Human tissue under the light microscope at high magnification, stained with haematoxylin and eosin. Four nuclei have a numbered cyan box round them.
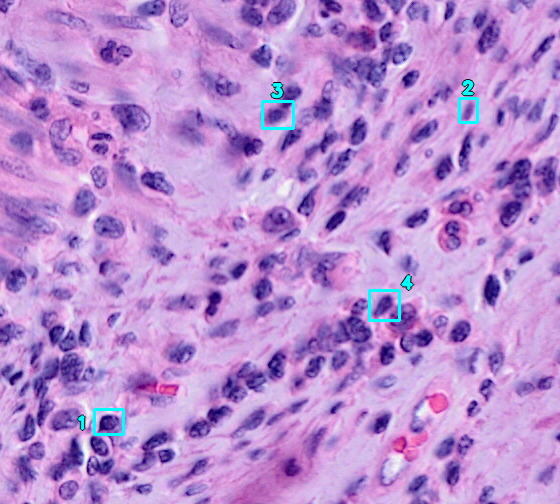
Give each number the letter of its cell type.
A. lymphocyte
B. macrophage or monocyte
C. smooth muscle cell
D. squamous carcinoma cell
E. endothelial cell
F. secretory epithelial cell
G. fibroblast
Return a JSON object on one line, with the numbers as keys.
{"1": "A", "2": "G", "3": "A", "4": "A"}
